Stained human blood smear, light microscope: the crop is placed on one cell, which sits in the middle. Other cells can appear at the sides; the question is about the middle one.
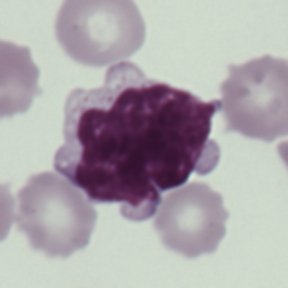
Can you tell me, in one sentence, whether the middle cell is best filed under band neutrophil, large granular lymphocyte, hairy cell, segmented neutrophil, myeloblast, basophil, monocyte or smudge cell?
What sits at the centre of this crop is a large granular lymphocyte.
